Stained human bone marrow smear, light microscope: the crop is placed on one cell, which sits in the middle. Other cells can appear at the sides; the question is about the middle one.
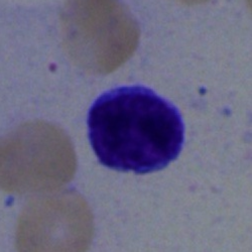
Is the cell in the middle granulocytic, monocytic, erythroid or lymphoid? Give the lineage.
lymphoid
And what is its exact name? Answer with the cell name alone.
lymphocyte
